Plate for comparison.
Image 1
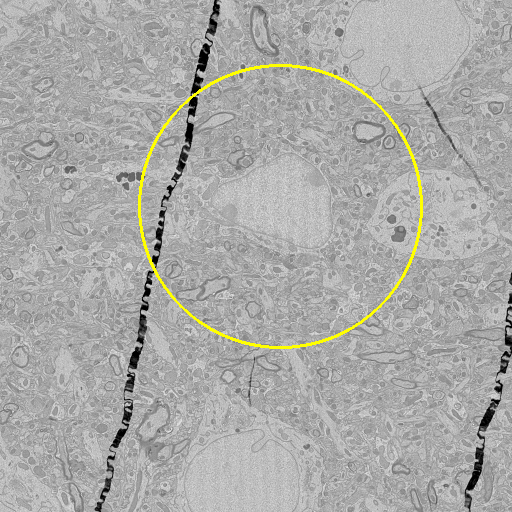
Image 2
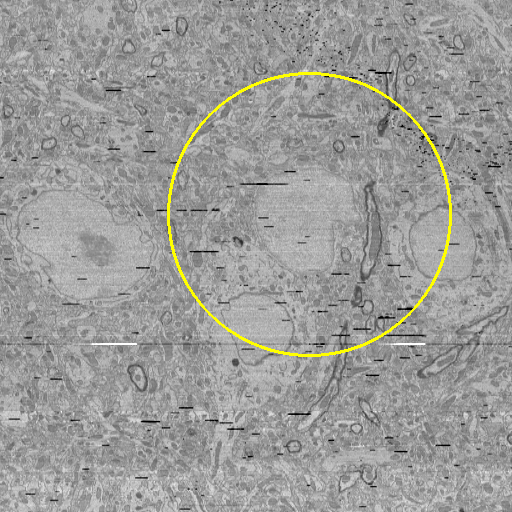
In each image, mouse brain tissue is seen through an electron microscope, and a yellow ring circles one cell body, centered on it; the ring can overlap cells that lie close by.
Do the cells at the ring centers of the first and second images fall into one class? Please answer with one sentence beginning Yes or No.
Yes, the first and second images show a single class of cell at the ring centers.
